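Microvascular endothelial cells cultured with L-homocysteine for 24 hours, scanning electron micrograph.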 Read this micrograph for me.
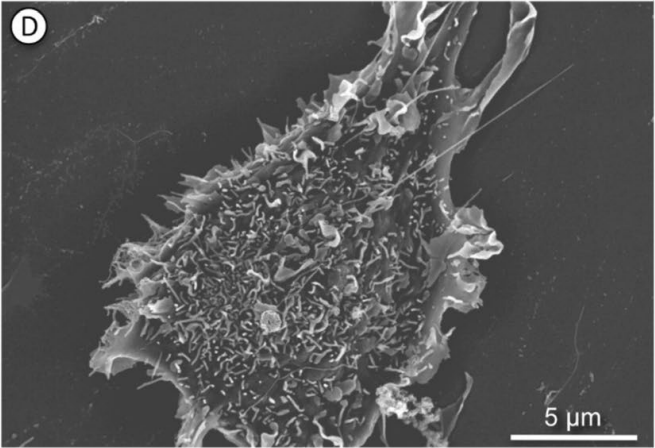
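Around the edge the cell spreads out into thin, ruffled sheets and frayed lamellae, and a few long, fine threads run off across the substrate. The cell stands alone: there is no broad flat contact with neighbouring cells in this field, only bare substrate around it.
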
